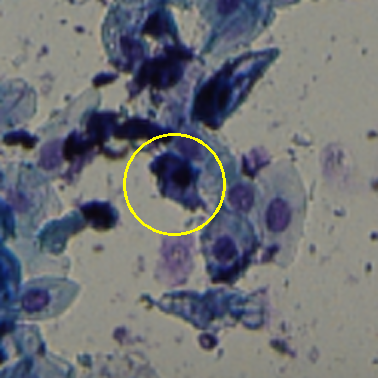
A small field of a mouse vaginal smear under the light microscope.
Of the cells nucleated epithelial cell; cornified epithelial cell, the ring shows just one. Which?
The ring shows a nucleated epithelial cell.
